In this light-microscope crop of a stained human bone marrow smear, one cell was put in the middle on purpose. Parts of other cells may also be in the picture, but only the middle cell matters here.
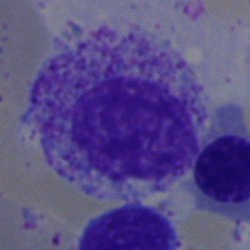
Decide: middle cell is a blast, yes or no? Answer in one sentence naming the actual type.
No, it is a myelocyte, not a blast, that lies at the centre of the crop.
